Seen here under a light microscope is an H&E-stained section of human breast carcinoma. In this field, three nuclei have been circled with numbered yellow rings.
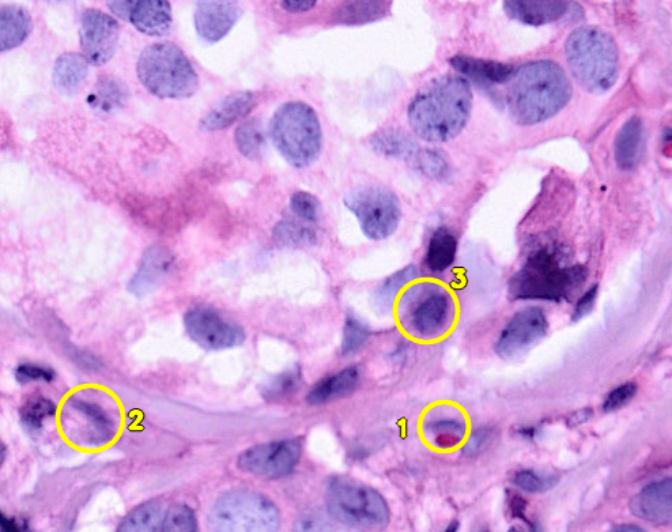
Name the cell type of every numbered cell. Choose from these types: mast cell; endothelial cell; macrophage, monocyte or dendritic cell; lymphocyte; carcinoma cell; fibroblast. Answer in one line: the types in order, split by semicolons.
endothelial cell; fibroblast; carcinoma cell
